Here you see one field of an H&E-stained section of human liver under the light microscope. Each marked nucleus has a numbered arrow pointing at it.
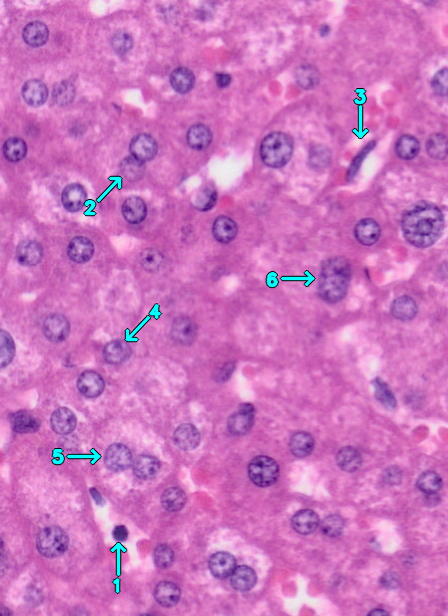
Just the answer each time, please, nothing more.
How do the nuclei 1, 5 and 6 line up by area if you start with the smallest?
1, 5, 6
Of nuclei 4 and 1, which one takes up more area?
4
